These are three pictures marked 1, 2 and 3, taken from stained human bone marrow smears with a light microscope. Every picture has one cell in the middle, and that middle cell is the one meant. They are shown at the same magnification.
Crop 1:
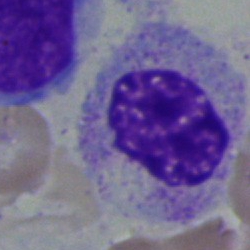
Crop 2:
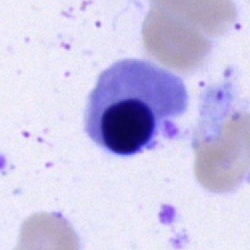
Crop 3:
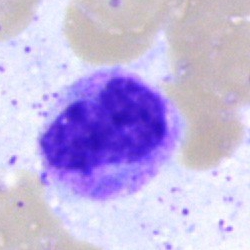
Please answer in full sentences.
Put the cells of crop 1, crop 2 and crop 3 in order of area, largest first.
The order is 1, 3, 2, beginning with the largest.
